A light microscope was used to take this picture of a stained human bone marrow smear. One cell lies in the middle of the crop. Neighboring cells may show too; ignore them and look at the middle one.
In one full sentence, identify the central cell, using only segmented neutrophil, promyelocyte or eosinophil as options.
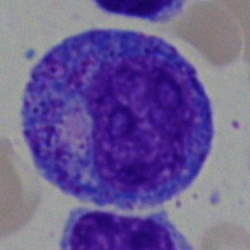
The middle cell in this particular crop is a promyelocyte.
